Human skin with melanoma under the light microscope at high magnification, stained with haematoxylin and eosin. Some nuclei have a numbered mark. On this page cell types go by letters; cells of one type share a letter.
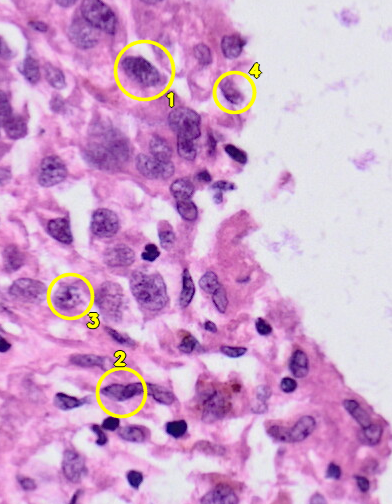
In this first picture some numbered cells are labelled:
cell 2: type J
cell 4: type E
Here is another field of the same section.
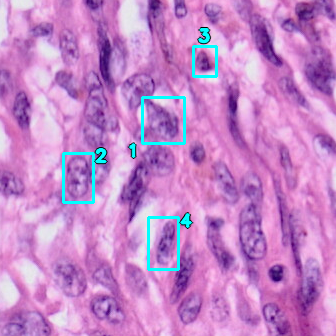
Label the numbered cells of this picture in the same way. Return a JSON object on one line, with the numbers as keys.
{"1": "type E", "2": "type E", "3": "type J", "4": "type E"}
